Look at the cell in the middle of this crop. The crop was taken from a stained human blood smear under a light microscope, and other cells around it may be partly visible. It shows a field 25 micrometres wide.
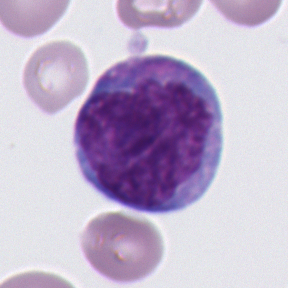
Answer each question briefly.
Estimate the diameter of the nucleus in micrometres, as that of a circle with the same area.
11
